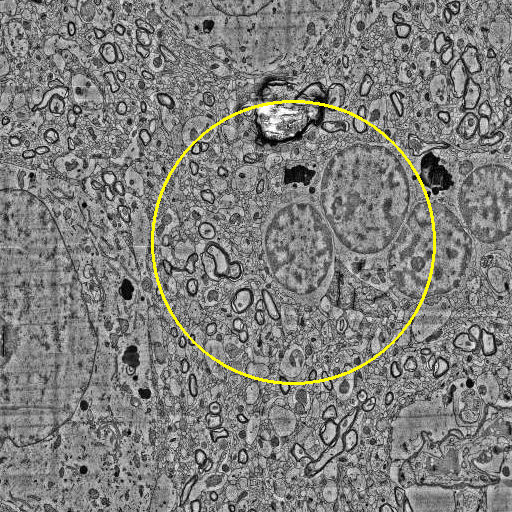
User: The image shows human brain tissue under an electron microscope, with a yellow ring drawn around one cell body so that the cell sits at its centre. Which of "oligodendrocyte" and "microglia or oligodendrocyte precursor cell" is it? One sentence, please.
At the centre of the ring sits an oligodendrocyte.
